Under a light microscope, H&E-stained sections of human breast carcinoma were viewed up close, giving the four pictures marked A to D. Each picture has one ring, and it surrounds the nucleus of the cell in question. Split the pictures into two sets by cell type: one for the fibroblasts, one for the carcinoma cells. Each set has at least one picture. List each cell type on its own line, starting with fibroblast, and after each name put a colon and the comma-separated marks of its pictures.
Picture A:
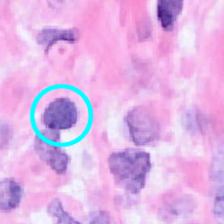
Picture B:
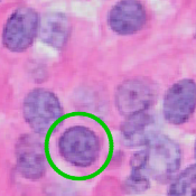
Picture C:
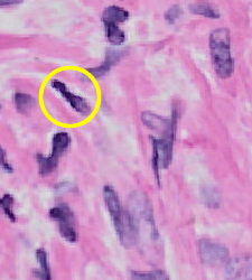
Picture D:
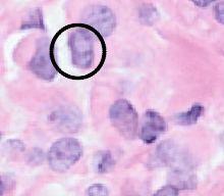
fibroblast: C
carcinoma cell: A, B, D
